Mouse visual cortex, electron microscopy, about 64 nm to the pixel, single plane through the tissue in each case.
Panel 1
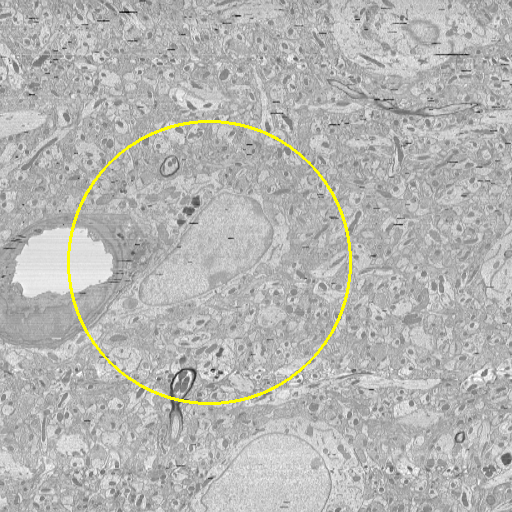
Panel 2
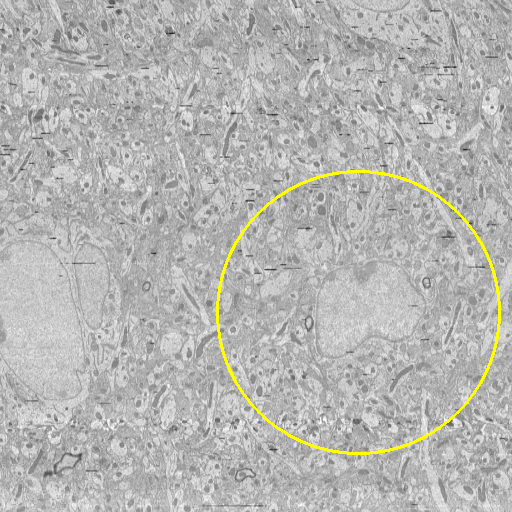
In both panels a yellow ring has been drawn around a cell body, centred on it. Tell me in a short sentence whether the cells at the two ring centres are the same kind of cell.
Yes, they are the same kind of cell.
